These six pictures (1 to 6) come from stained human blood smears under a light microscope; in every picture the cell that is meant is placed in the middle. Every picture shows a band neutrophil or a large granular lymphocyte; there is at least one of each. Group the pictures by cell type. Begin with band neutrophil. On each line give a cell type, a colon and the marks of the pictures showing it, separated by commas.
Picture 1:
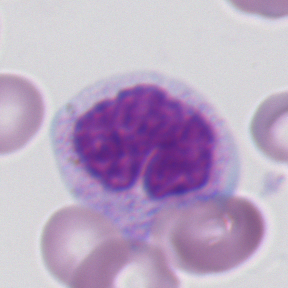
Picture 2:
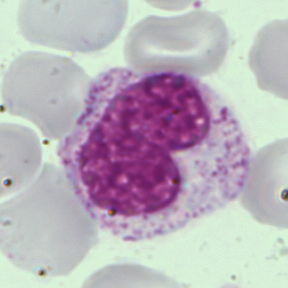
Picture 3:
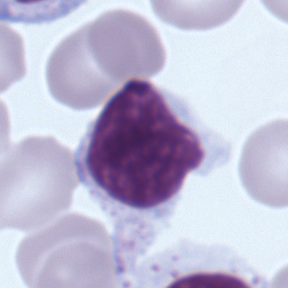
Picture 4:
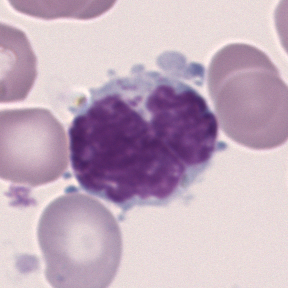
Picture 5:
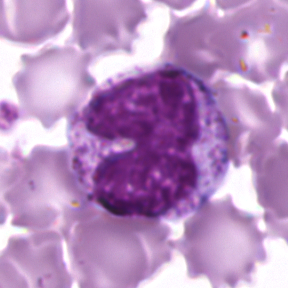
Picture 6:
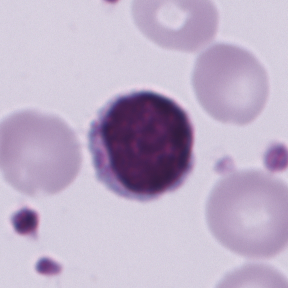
band neutrophil: 1, 2, 5
large granular lymphocyte: 3, 4, 6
